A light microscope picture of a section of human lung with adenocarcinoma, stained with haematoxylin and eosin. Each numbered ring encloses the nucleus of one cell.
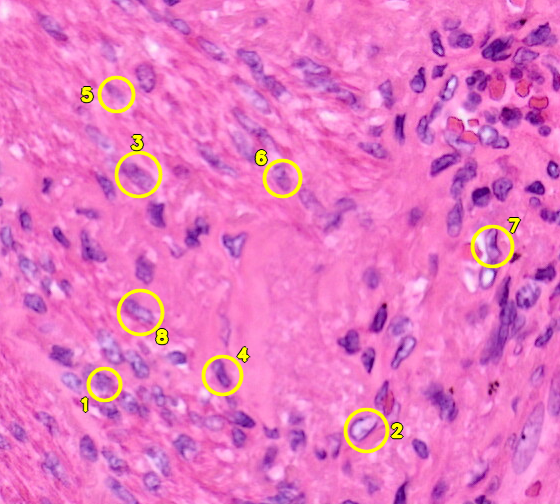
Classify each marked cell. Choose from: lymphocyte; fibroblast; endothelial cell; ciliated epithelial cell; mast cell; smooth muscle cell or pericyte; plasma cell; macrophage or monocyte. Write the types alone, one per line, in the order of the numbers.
smooth muscle cell or pericyte
endothelial cell
smooth muscle cell or pericyte
mast cell
smooth muscle cell or pericyte
smooth muscle cell or pericyte
endothelial cell
smooth muscle cell or pericyte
